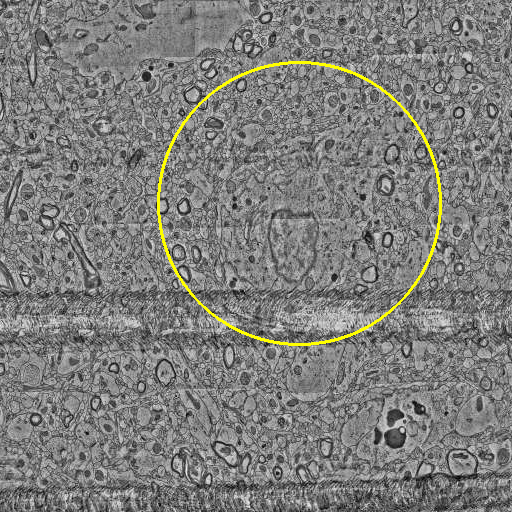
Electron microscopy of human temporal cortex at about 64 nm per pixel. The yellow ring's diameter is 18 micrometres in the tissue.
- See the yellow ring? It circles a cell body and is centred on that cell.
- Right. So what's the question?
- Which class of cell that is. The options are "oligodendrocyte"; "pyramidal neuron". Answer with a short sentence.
The centre of the ring holds a pyramidal neuron.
